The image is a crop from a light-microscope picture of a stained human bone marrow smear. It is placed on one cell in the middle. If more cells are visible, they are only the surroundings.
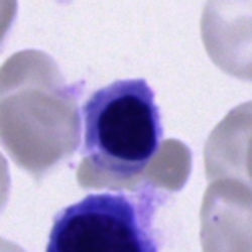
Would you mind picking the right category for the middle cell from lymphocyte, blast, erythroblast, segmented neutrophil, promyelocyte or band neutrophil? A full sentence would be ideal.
Classification of the middle cell gives an erythroblast.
